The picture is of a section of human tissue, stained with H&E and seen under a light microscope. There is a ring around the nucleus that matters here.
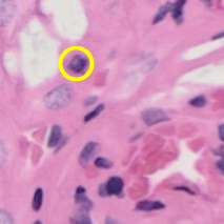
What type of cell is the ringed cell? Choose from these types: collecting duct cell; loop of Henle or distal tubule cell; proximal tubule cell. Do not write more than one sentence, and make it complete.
Speaking plainly, the ringed cell is nothing other than a loop of Henle or distal tubule cell.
